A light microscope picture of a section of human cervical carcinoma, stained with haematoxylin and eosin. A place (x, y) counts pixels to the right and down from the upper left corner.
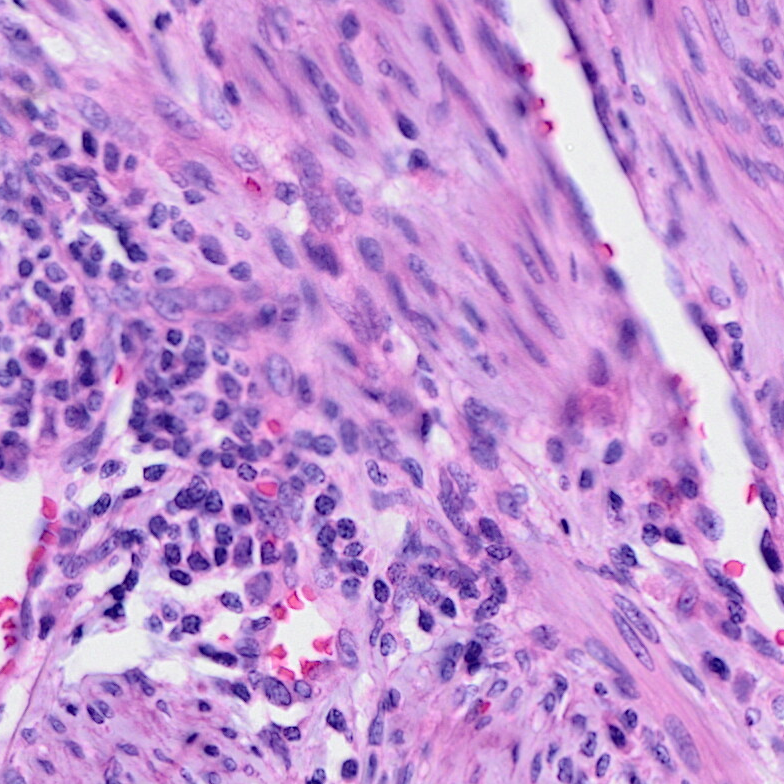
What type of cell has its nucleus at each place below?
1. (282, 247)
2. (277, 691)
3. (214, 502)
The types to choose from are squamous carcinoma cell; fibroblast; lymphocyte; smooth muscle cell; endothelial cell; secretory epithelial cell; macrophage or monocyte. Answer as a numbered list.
1. fibroblast
2. endothelial cell
3. lymphocyte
